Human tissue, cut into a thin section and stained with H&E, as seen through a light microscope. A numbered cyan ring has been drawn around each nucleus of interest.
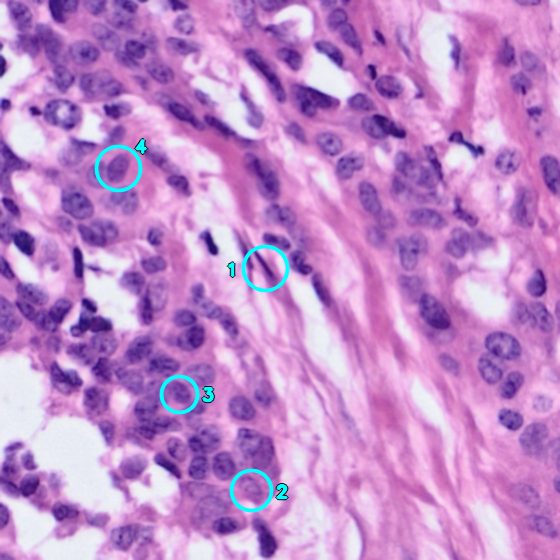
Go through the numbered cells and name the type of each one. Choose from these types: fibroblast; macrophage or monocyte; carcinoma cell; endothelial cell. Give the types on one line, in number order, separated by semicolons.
fibroblast; carcinoma cell; carcinoma cell; carcinoma cell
